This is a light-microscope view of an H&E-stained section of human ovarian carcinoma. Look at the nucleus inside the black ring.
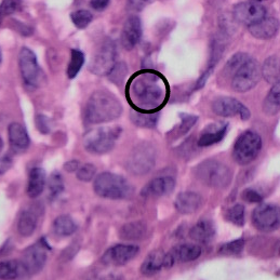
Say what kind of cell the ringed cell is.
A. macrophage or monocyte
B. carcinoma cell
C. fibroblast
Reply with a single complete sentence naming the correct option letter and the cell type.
In keeping with option B, the ringed cell is a carcinoma cell.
